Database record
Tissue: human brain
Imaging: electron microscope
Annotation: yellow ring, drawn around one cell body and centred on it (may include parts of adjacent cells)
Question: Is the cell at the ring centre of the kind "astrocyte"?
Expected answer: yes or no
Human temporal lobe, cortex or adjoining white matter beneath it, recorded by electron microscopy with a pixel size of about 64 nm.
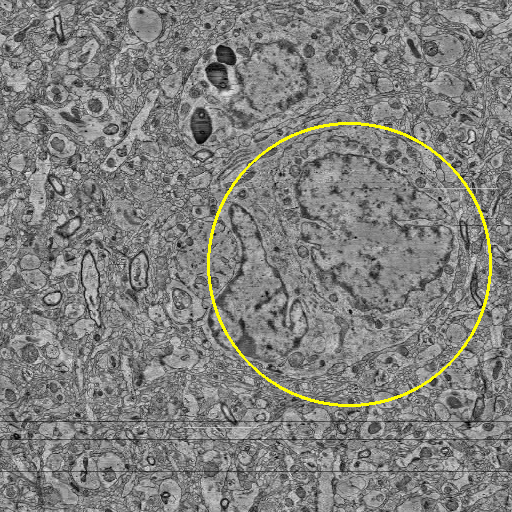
no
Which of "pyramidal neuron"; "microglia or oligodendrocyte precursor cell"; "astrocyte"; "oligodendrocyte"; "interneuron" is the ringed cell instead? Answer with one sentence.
At the centre of the ring sits an interneuron.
